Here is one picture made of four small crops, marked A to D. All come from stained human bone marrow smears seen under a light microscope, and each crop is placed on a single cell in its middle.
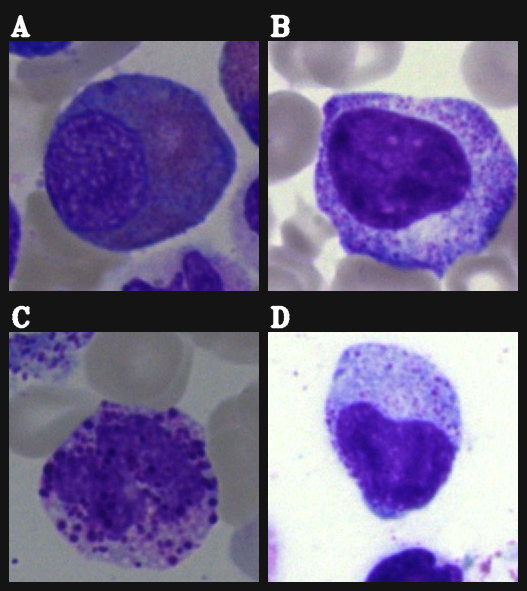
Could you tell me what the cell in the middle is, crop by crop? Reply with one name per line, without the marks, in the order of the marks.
eosinophil
myelocyte
basophil
myelocyte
